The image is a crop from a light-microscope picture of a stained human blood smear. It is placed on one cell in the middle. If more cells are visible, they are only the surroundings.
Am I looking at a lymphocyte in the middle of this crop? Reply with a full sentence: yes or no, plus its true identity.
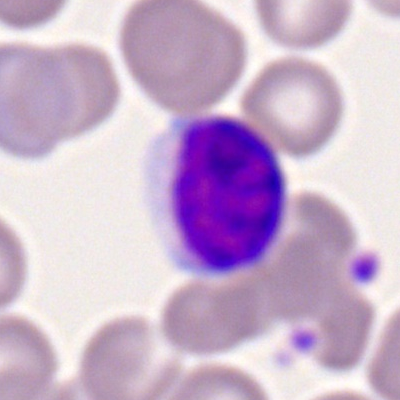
Yes, the cell in the centre is a lymphocyte.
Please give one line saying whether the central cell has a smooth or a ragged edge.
Thanks for asking; the cell edge is smooth and has no projections.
